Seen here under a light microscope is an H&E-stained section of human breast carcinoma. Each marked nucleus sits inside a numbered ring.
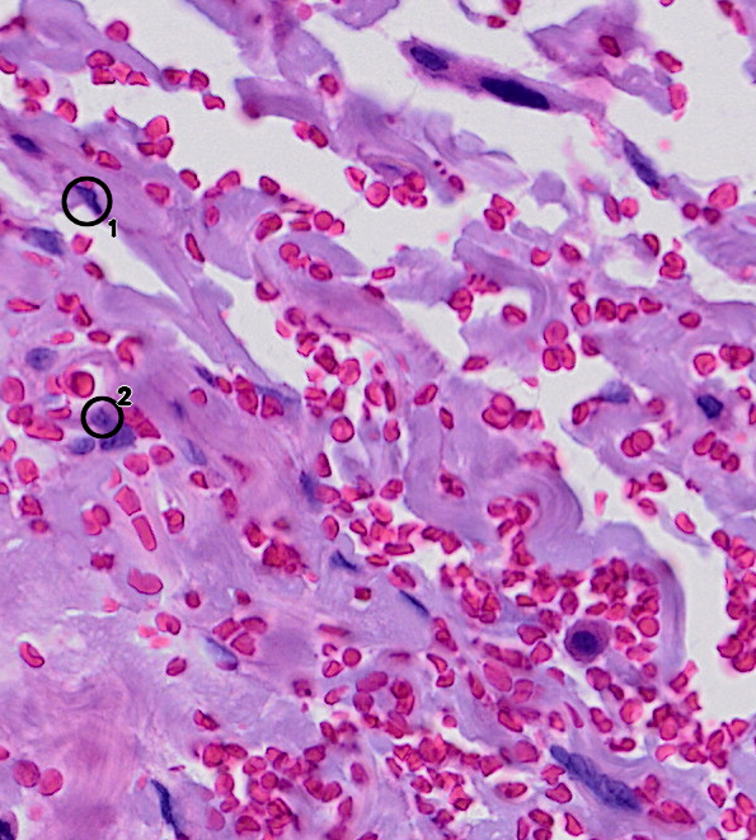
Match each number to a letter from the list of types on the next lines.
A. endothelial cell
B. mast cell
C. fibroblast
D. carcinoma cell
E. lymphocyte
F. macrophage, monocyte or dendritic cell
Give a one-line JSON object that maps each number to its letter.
{"1": "C", "2": "A"}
